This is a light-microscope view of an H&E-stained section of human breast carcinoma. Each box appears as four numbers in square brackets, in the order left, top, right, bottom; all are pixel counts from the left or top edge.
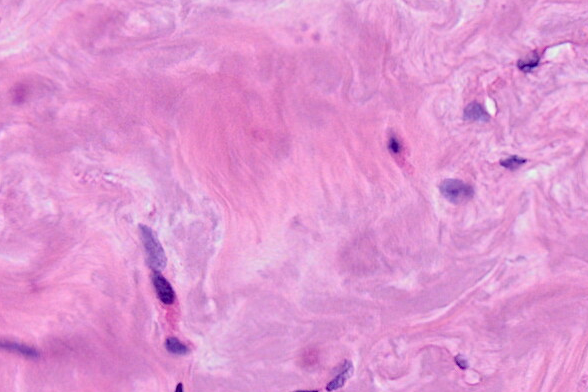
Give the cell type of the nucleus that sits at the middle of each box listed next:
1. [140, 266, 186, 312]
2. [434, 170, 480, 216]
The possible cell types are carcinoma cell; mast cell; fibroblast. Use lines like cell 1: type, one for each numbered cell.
cell 1: mast cell
cell 2: fibroblast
